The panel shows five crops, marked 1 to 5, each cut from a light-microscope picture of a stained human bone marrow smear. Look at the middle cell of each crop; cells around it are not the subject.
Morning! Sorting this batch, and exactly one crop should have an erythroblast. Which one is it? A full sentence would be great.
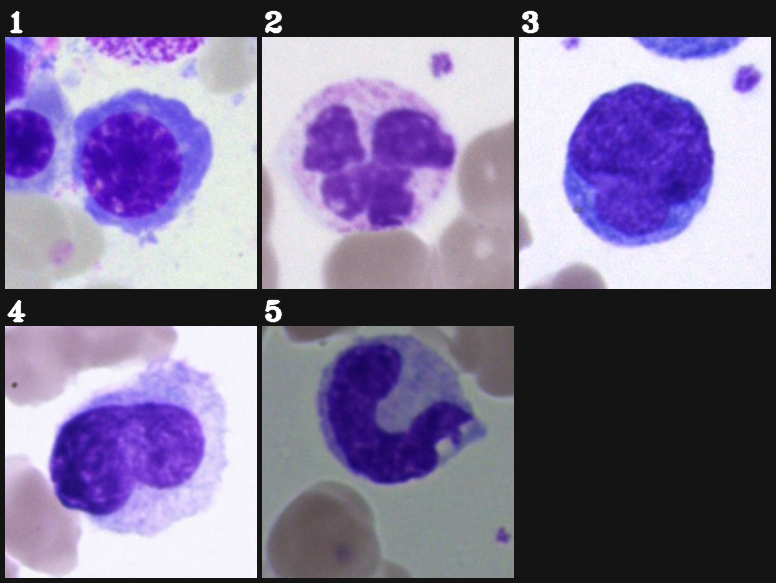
The crop bearing an erythroblast is crop 1.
